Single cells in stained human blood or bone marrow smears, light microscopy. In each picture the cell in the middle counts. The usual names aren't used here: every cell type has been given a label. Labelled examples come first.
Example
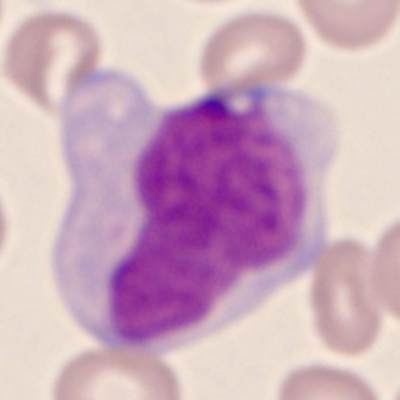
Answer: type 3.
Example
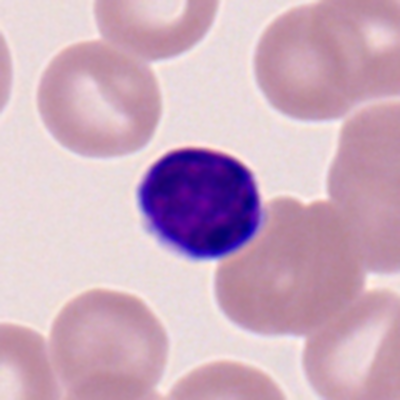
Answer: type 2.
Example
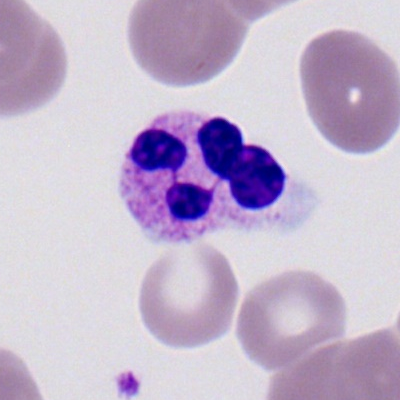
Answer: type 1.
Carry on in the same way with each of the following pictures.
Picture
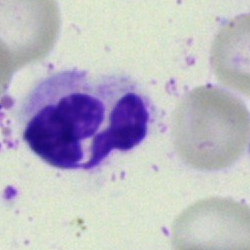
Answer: type 1.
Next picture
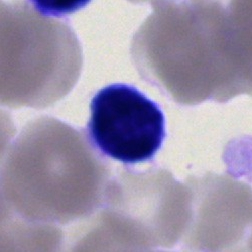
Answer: type 2.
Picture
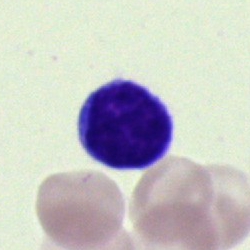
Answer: type 2.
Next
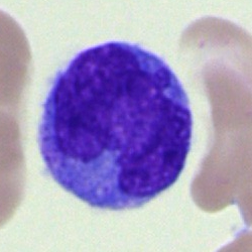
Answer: type 3.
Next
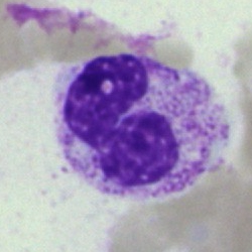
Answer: type 1.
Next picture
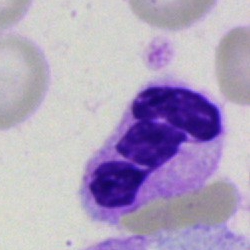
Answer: type 1.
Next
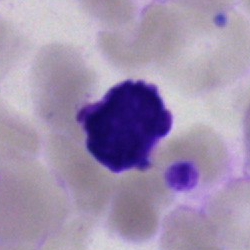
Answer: type 2.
